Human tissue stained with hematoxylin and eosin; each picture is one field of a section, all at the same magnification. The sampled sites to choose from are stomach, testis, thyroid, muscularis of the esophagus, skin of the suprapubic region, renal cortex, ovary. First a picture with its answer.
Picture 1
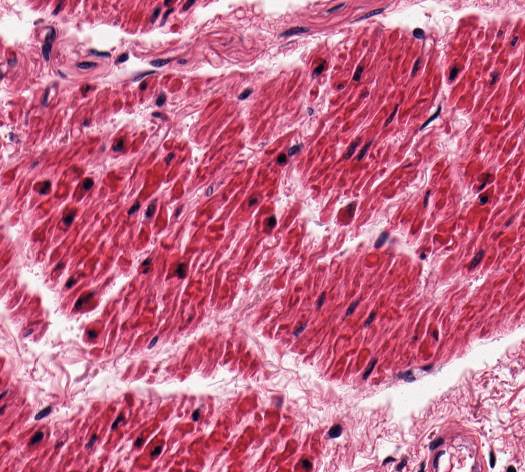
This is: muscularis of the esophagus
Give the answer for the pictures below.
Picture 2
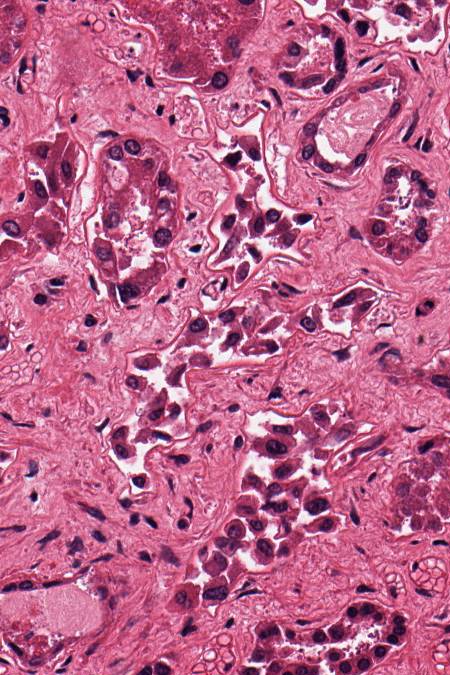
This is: renal cortex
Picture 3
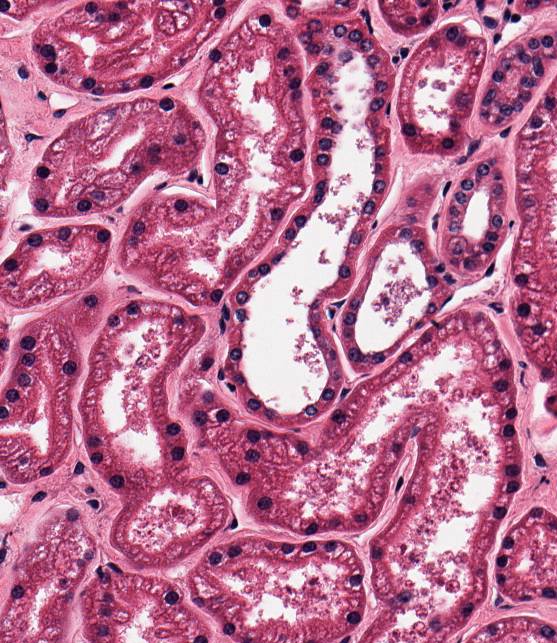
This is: renal cortex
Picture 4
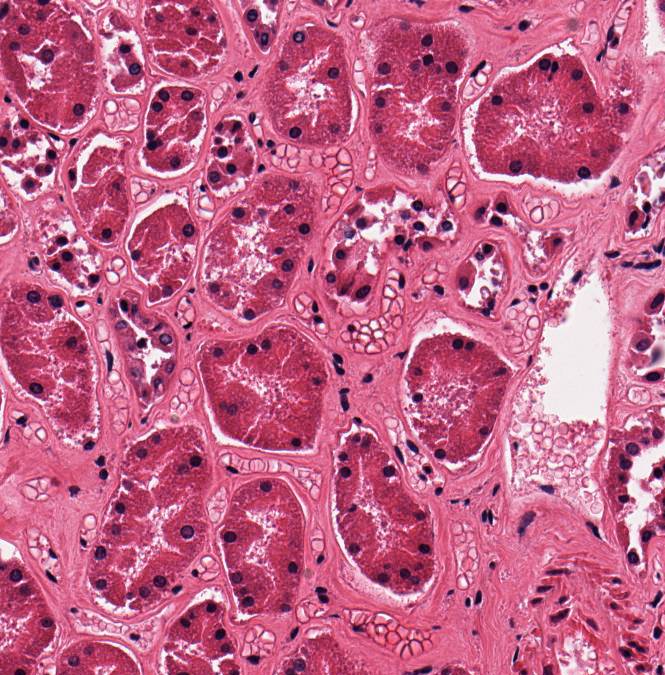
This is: renal cortex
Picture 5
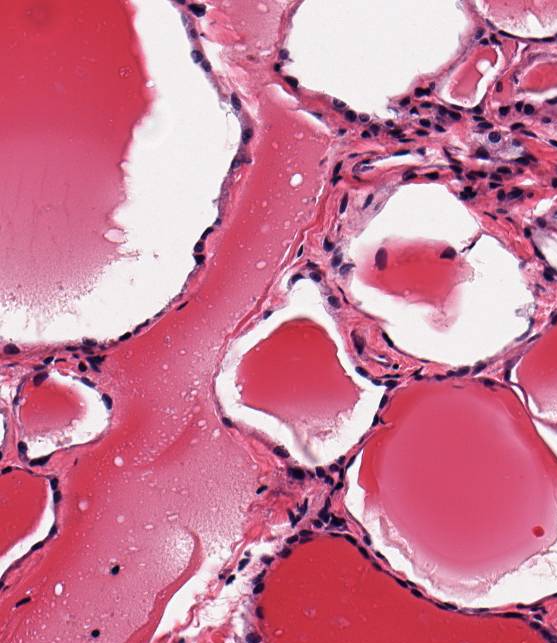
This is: thyroid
